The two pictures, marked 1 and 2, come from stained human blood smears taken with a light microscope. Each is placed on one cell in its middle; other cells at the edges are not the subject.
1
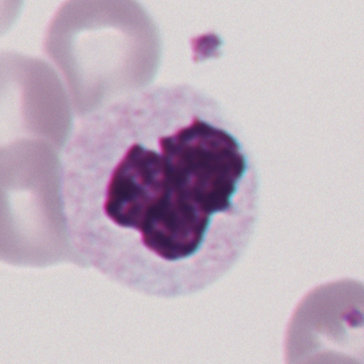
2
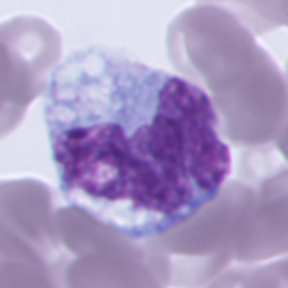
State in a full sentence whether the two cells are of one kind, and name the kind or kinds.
No, crop 1 offers a neutrophil, while crop 2 offers a monocyte.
